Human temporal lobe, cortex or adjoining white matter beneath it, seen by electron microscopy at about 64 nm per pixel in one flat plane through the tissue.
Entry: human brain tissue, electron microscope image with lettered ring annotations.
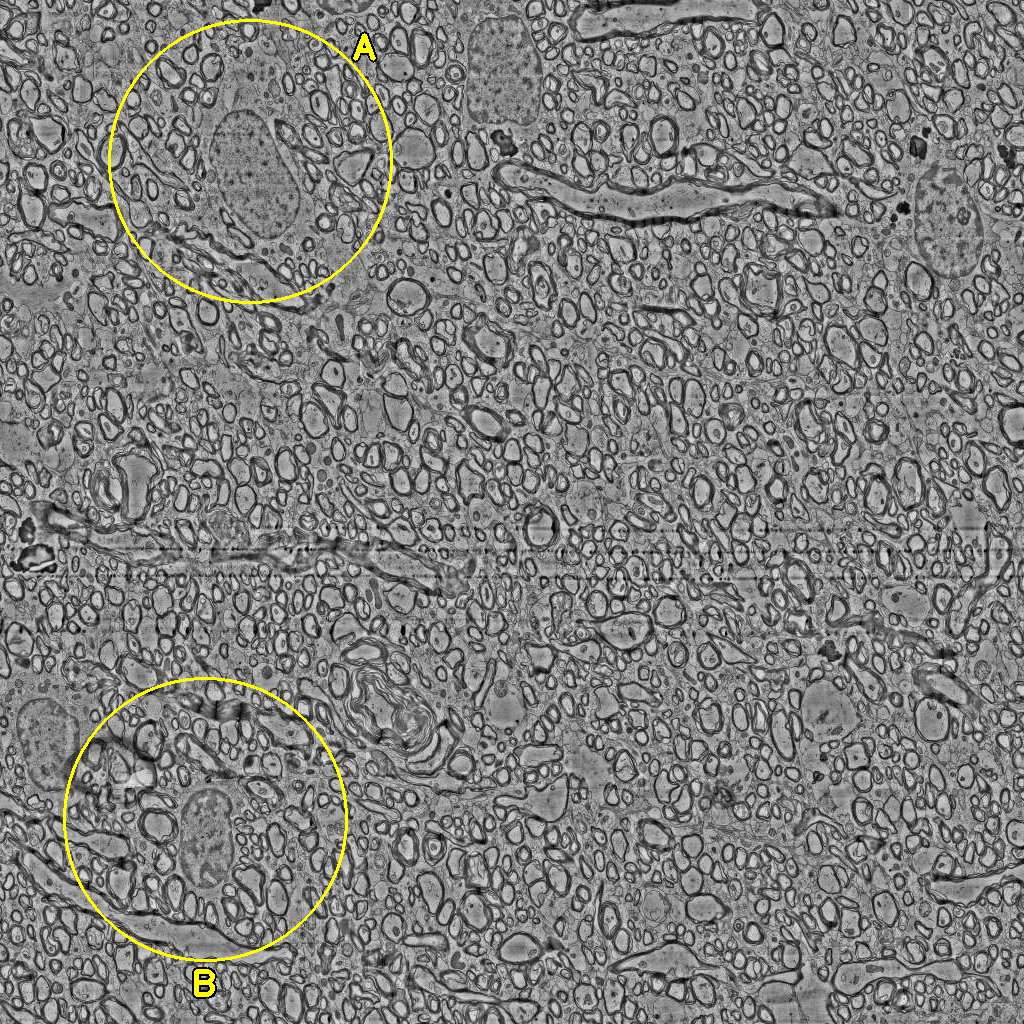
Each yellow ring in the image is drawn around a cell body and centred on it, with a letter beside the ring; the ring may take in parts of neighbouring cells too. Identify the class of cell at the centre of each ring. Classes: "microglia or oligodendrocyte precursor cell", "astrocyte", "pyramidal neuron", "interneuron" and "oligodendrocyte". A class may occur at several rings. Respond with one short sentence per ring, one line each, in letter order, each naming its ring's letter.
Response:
Ring A holds an astrocyte at its centre.
Ring B holds an oligodendrocyte at its centre.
